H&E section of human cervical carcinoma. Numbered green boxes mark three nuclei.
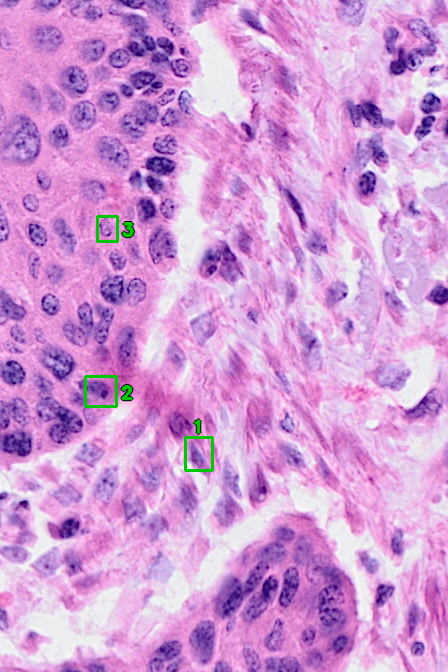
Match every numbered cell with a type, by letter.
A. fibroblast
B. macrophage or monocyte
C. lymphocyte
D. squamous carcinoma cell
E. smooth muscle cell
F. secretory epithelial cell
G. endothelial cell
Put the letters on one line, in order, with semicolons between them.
A; D; D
